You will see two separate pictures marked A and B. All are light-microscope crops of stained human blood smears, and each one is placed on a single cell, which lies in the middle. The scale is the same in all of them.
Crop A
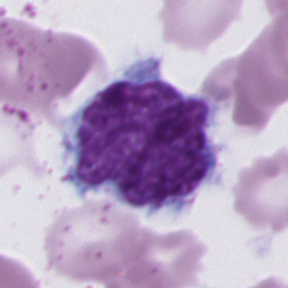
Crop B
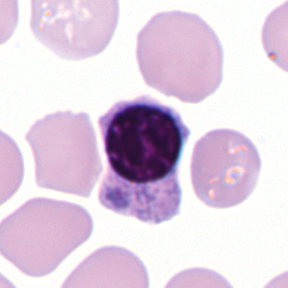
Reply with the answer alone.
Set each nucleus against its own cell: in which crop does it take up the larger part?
A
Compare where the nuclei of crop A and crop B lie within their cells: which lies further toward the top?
B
